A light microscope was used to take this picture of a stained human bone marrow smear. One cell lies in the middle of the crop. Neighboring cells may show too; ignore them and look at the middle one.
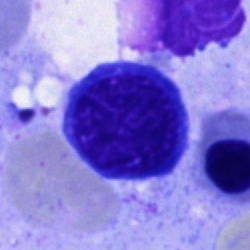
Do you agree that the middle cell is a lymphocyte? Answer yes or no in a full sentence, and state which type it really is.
No, what lies at the heart of the crop is an erythroblast, not a lymphocyte.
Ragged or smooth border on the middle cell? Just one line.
Smooth outline, no projections: that is the whole story of its edge.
